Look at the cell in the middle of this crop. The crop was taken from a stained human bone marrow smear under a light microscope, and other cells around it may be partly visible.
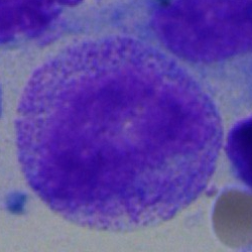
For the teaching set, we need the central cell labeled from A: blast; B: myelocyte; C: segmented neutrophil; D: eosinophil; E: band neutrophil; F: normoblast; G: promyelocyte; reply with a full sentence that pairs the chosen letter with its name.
The cell in the center of this crop is a myelocyte, so option B is the one to pick.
